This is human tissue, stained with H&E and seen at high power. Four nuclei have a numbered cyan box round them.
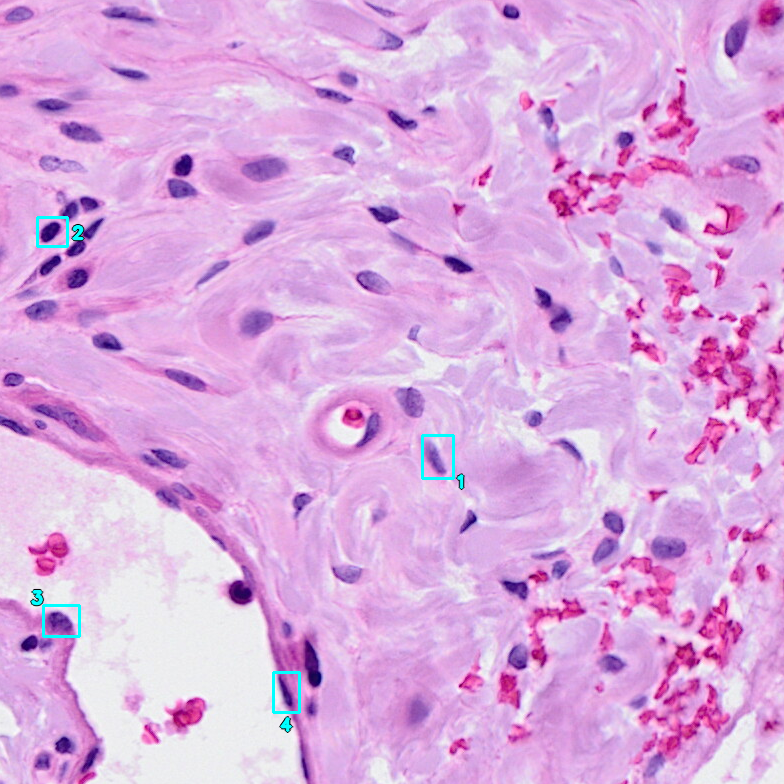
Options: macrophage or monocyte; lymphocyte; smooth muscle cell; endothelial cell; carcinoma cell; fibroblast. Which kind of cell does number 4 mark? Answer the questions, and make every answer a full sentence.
Nucleus 4 in this section belongs to an endothelial cell.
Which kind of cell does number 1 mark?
The cell that bears the number 1 is a fibroblast.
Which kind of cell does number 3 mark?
Recognised here as an endothelial cell is the cell numbered 3.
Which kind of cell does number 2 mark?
The cell numbered 2 represents a lymphocyte.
